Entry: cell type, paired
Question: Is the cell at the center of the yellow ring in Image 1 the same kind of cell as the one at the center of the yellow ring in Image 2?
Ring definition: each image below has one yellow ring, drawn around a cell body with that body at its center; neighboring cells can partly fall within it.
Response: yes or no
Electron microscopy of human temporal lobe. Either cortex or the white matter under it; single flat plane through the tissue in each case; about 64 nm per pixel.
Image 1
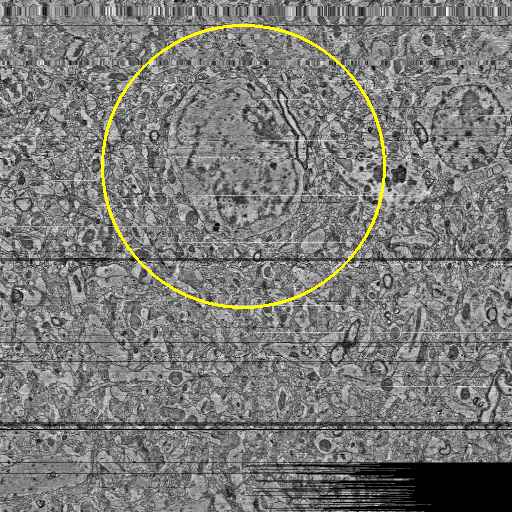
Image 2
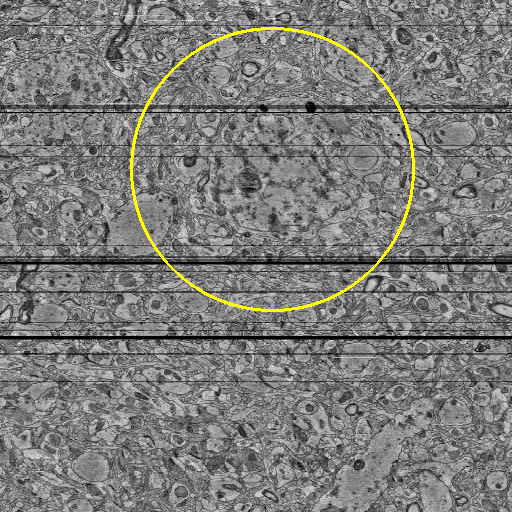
yes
